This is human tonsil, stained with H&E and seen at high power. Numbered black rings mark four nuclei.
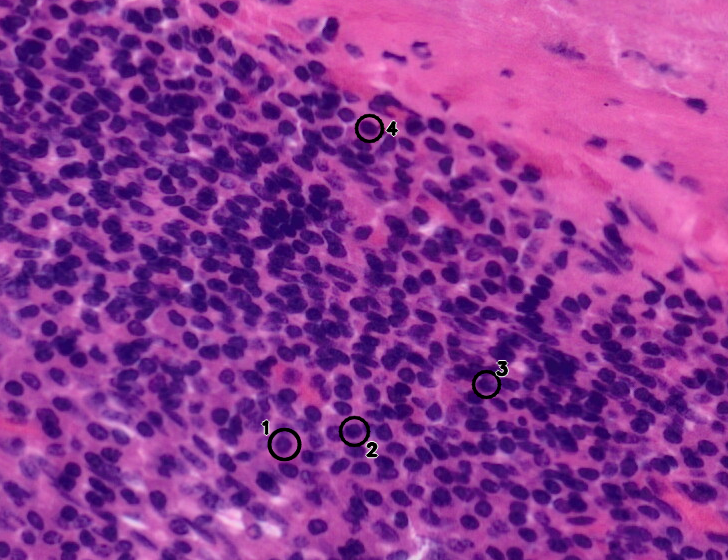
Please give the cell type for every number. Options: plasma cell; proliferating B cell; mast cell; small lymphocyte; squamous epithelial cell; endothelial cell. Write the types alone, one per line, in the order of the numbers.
plasma cell
plasma cell
small lymphocyte
plasma cell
